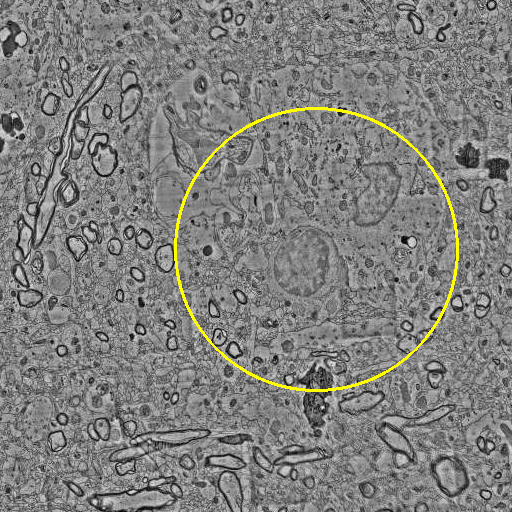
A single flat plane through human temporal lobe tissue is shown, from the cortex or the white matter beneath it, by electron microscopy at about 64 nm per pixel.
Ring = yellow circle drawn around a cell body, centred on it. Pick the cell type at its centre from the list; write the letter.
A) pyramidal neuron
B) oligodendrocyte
B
